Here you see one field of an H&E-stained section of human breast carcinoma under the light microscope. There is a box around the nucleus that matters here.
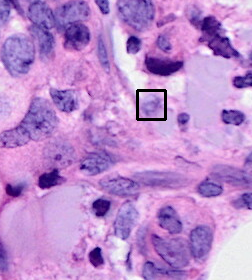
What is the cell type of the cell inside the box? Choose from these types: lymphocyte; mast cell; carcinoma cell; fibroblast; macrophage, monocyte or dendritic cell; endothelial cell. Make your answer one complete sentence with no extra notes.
In cellular terms, the cell inside the box is a macrophage, monocyte or dendritic cell.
